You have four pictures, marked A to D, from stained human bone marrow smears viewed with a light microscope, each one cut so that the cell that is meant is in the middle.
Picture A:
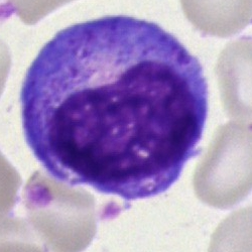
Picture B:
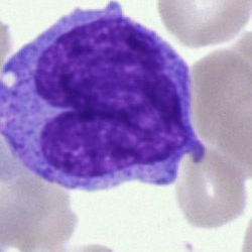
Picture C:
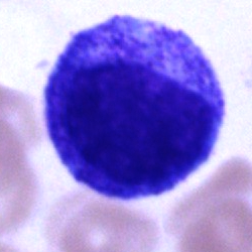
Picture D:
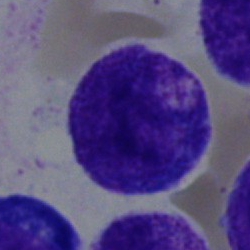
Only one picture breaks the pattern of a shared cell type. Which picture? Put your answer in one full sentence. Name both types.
All pictures except B show promyelocytes; picture B shows a monocyte.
